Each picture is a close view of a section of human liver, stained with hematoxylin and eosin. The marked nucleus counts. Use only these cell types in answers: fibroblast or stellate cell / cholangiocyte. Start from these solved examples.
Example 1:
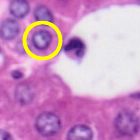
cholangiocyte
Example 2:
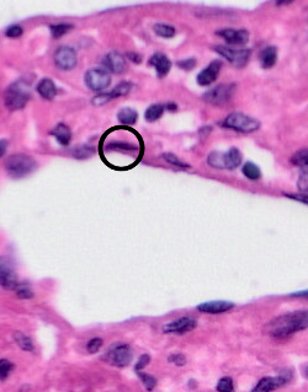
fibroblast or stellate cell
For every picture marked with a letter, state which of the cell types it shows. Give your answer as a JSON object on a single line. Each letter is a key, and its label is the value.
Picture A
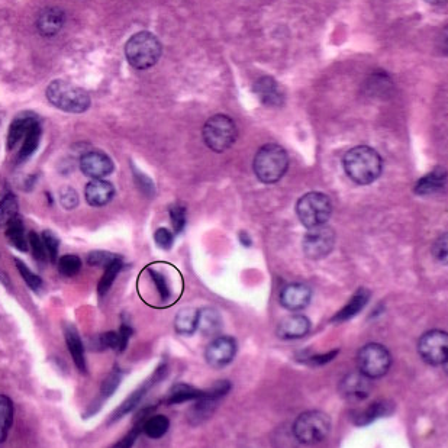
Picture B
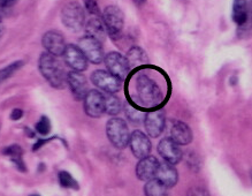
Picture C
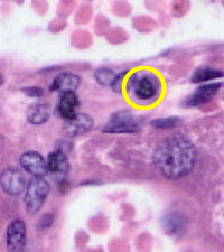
{"A": "fibroblast or stellate cell", "B": "cholangiocyte", "C": "cholangiocyte"}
